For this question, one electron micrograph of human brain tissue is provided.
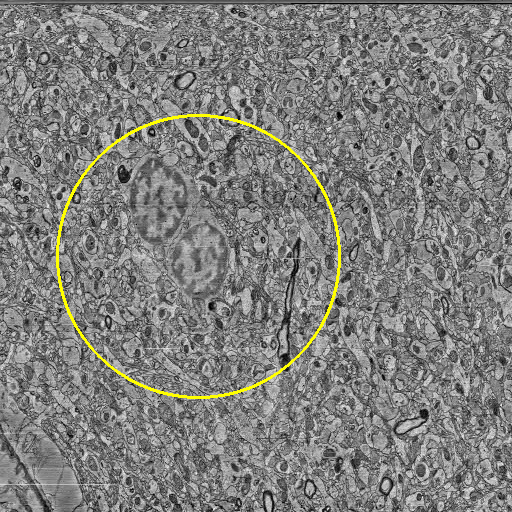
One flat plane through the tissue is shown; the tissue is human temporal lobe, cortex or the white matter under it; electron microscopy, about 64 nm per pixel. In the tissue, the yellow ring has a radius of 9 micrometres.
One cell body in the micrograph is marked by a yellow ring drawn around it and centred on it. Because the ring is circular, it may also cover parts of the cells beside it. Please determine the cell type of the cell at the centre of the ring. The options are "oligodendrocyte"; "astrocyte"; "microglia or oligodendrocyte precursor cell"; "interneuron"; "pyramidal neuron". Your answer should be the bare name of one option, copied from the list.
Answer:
oligodendrocyte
